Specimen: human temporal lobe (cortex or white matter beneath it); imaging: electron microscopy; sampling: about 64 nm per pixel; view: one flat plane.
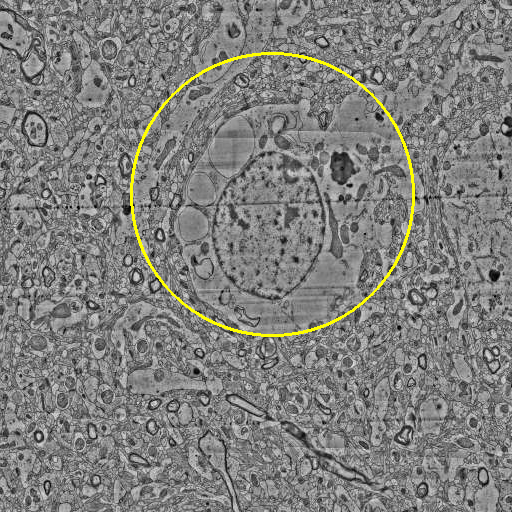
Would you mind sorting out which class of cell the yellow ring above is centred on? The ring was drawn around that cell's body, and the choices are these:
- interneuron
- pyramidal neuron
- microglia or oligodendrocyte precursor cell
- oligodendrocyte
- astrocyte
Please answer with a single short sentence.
This is the cell body of an astrocyte.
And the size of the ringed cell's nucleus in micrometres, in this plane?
Roughly 9 by 7 micrometres is the size of the nucleus in this plane.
